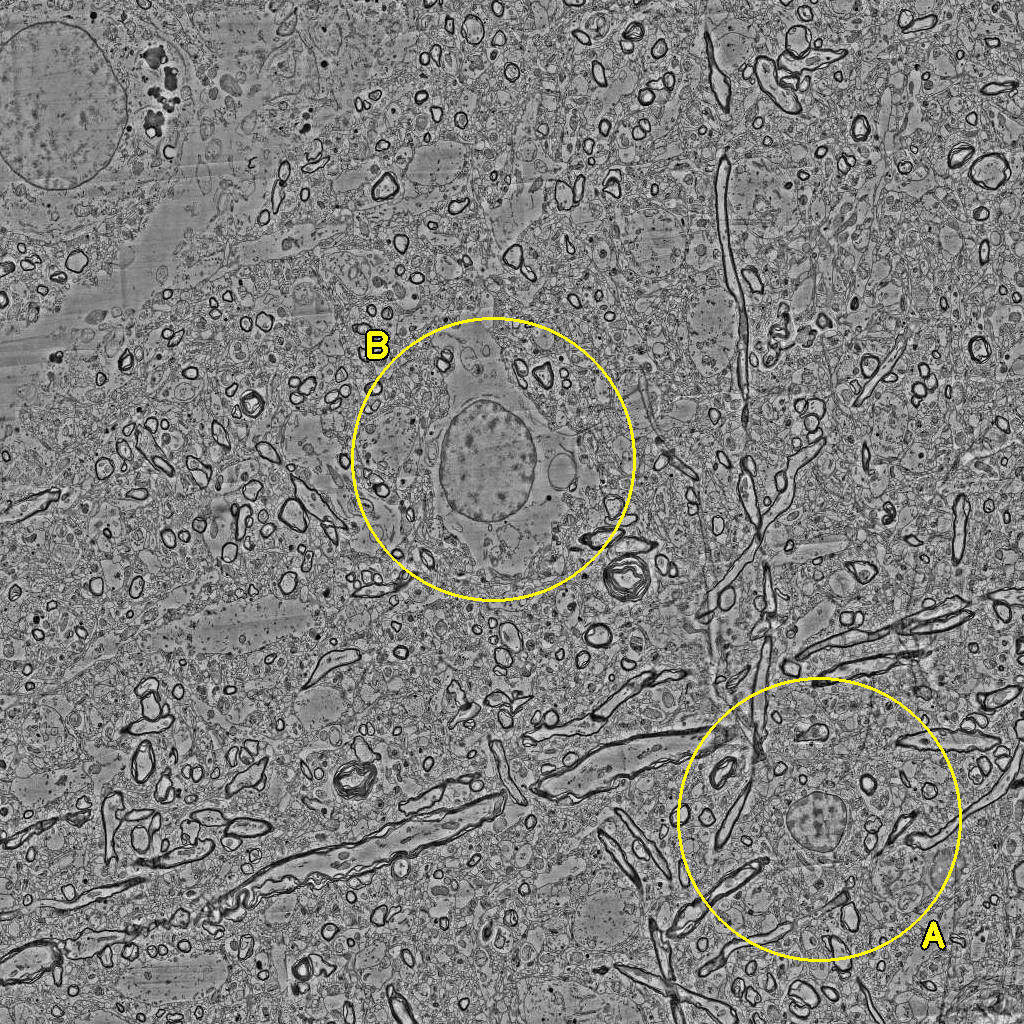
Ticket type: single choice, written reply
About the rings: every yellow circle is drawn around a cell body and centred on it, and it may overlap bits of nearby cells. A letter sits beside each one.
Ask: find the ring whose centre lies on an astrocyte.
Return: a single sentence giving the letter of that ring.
At the centre of the ring marked B lies the cell asked for.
